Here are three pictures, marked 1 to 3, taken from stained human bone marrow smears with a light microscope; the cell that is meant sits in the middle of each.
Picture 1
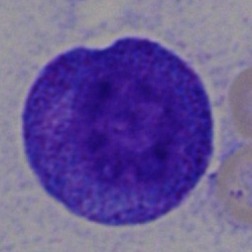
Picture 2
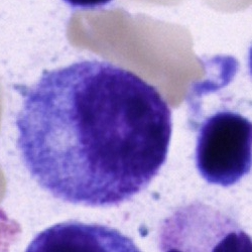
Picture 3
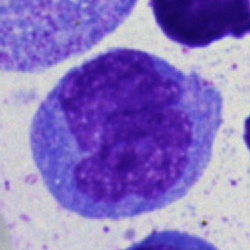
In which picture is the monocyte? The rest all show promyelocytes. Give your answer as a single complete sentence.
The cell in picture 3 is the monocyte.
